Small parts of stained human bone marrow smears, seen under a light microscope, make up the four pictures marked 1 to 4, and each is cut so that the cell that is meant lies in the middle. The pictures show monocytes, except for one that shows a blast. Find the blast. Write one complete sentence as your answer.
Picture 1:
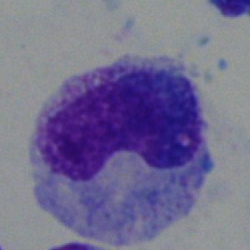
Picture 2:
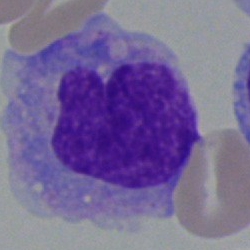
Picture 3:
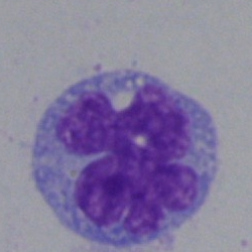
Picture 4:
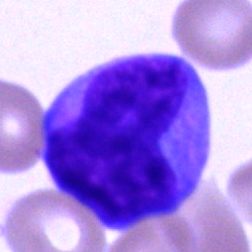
Picture 4 is the one that shows the blast.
